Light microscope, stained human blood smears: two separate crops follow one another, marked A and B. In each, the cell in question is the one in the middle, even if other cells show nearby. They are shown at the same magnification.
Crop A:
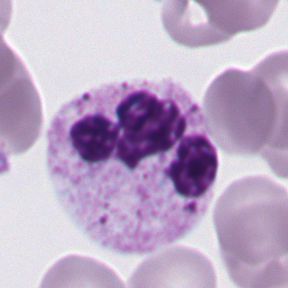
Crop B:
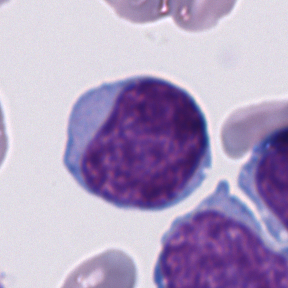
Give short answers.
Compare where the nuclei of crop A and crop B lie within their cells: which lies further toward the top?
A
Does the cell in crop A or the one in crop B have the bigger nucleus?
B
